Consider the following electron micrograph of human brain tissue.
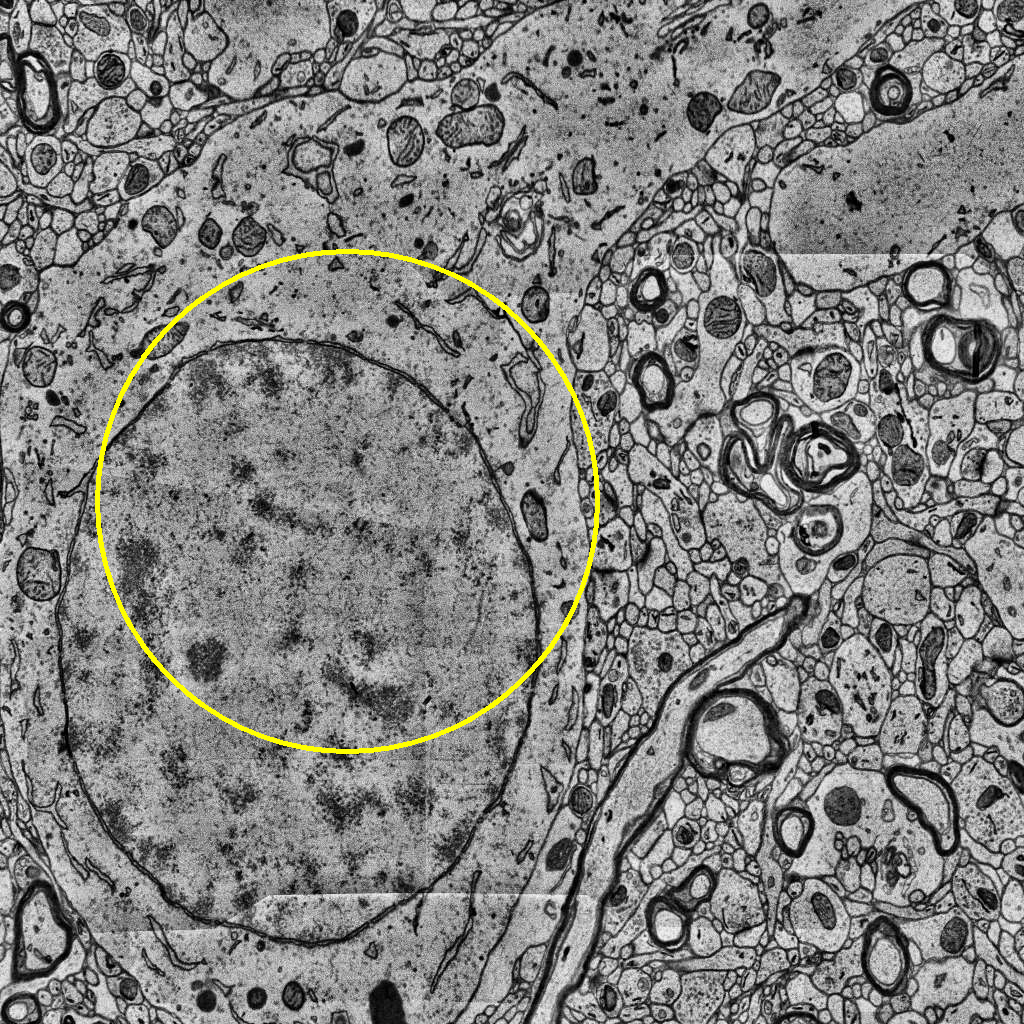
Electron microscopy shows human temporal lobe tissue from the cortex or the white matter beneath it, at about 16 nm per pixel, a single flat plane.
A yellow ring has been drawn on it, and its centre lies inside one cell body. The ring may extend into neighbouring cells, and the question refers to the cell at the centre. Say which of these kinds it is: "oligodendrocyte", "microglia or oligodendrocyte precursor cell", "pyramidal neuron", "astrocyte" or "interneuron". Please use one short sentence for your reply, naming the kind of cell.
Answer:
The centre of the ring falls on a pyramidal neuron.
